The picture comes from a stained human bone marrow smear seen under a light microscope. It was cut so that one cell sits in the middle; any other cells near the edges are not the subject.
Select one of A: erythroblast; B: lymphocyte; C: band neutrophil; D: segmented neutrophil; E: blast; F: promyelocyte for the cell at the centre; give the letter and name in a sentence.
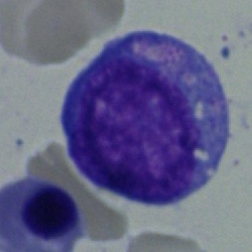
Option E is correct here, and the cell in the middle is a blast.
